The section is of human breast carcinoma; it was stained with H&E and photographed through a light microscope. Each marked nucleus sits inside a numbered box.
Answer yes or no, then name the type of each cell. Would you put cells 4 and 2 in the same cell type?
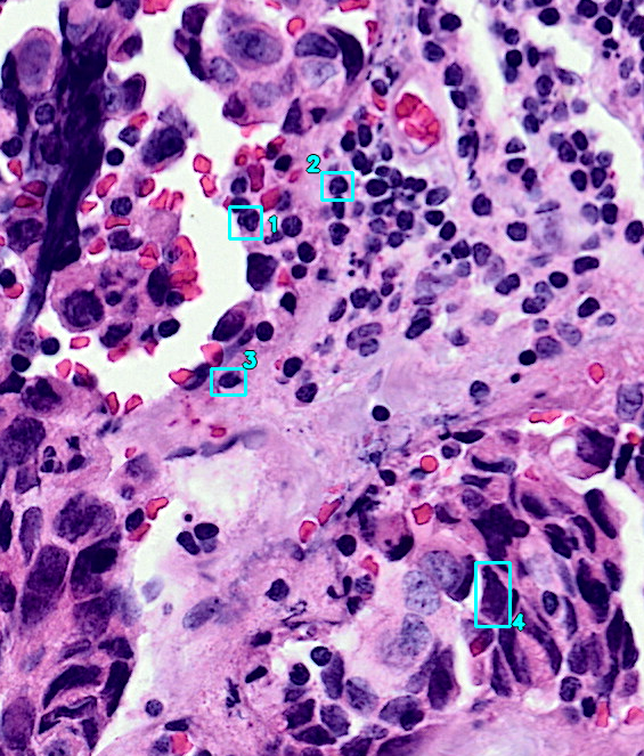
No, a lymphocyte is what cell 2 is, while cell 4 is a carcinoma cell.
